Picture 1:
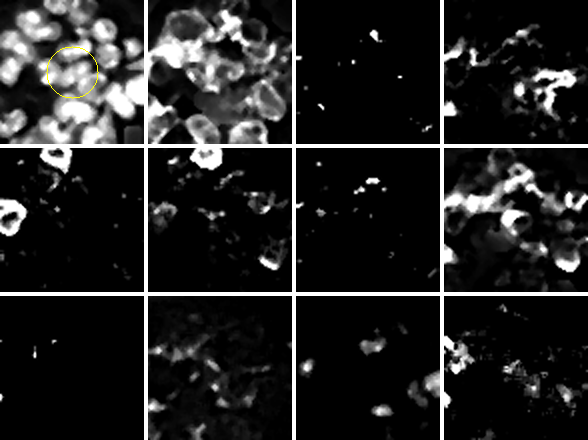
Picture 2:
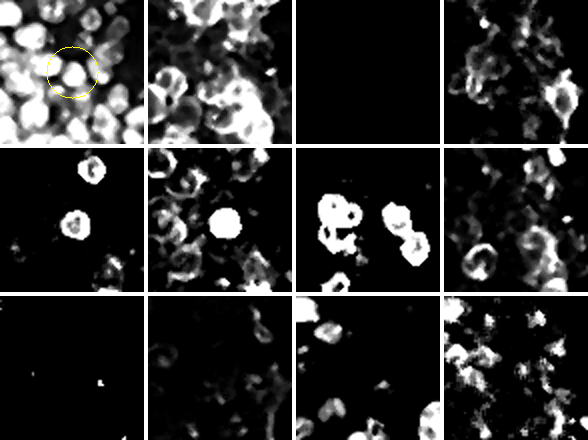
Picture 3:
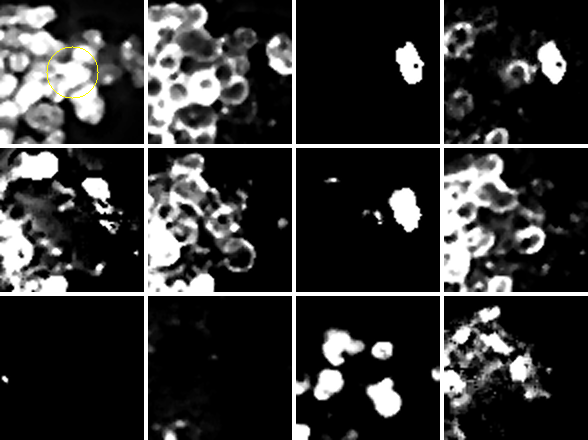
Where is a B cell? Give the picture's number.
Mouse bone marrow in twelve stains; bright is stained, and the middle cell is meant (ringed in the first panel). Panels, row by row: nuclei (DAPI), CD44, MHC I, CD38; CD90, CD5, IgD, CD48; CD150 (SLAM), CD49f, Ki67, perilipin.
3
